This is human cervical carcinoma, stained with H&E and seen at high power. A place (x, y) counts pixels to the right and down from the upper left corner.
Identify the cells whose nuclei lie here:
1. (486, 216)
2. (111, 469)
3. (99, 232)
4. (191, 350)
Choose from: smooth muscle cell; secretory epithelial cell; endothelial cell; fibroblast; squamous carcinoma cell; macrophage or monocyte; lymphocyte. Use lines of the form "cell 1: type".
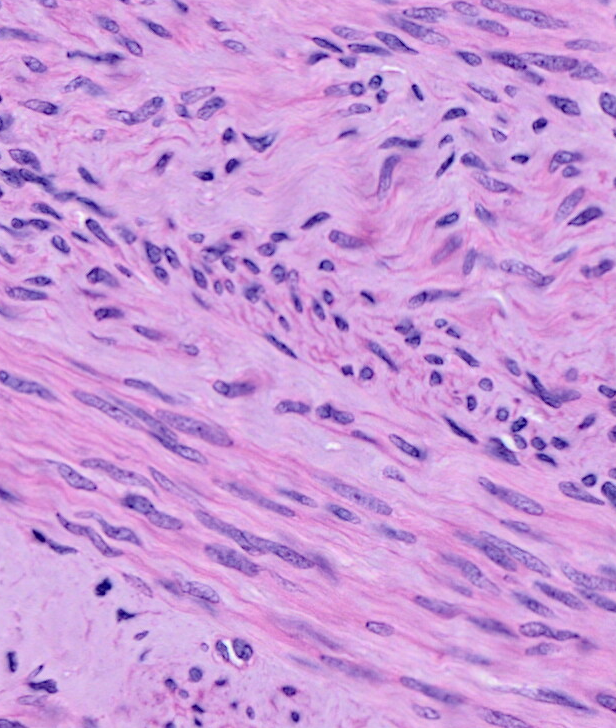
cell 1: smooth muscle cell
cell 2: smooth muscle cell
cell 3: fibroblast
cell 4: smooth muscle cell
